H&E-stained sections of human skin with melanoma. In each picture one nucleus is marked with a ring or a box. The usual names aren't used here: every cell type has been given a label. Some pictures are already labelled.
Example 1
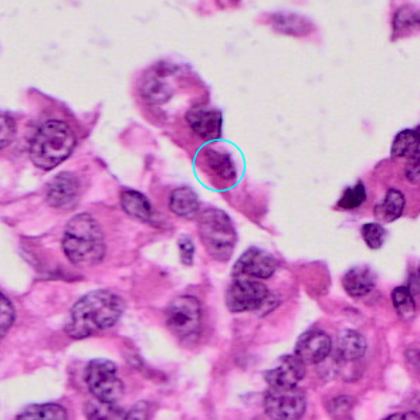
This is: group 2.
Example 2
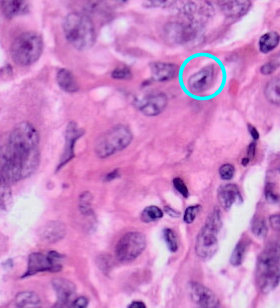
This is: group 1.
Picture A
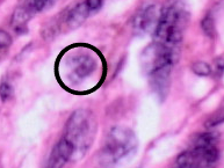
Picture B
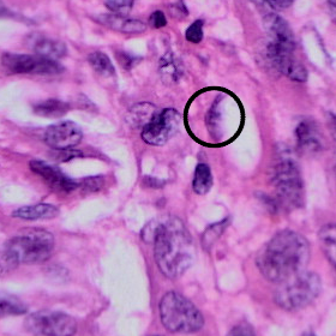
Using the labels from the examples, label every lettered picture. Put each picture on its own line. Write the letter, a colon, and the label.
A: group 2.
B: group 1.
